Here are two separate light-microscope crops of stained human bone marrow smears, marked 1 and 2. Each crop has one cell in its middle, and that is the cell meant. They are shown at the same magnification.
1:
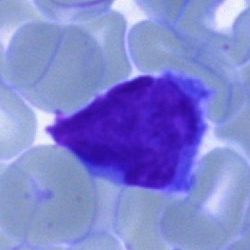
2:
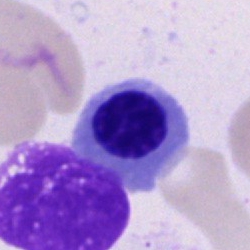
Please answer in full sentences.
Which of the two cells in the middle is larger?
Crop 1 holds the larger cell; it covers about 1.5 times the area of the cell in crop 2.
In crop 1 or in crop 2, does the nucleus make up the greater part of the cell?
The nucleus fills more of the cell in crop 1 than in crop 2.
